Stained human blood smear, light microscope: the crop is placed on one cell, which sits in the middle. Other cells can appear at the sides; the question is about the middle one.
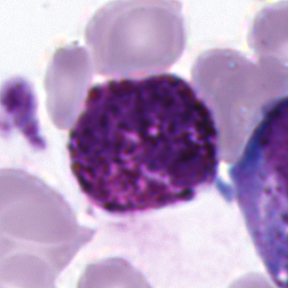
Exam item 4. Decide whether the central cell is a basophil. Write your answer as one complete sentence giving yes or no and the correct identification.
Yes, the centre of the crop holds a basophil.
